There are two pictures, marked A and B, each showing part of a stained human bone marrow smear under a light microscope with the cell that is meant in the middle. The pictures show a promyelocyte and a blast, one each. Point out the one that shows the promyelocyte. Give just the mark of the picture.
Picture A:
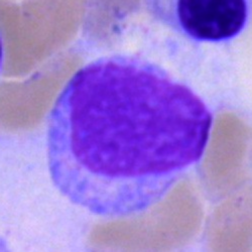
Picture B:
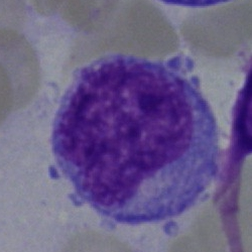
B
